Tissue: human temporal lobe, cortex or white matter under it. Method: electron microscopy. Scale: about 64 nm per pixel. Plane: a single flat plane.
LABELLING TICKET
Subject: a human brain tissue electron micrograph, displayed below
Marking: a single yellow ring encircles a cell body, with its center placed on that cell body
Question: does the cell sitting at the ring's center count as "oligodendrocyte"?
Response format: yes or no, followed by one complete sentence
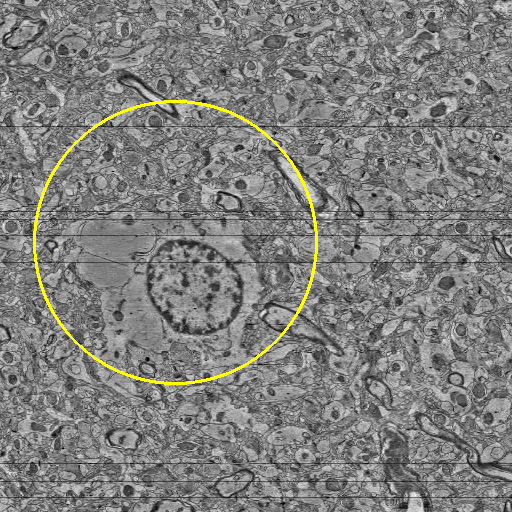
No, the cell at the center of the ring in the picture belongs to another kind.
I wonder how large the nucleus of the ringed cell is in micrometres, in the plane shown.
Roughly 7 micrometres by 6 micrometres, in this plane.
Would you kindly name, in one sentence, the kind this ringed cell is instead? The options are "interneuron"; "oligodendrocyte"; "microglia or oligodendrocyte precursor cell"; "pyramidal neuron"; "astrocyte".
The cell at the ring centre is an astrocyte.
